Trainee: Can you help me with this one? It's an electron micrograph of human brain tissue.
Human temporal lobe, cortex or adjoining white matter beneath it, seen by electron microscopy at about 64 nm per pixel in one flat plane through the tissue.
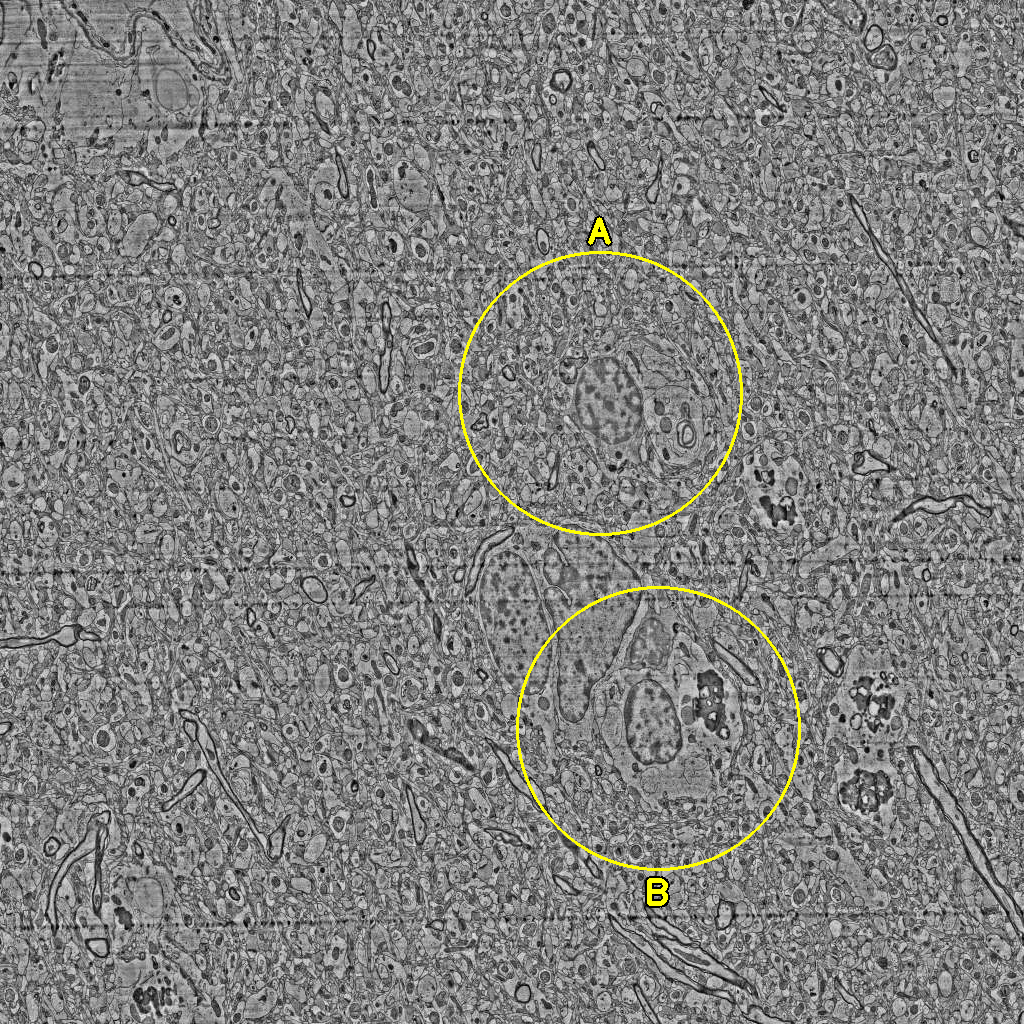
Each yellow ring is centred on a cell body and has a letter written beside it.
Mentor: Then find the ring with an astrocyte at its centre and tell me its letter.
B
